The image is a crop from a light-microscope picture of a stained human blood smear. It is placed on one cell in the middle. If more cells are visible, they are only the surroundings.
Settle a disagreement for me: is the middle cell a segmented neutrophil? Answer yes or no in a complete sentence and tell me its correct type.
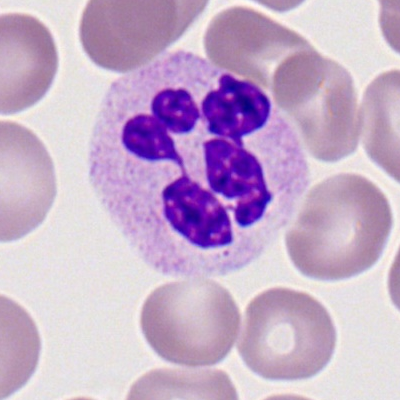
Yes, the middle cell is properly termed a segmented neutrophil.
